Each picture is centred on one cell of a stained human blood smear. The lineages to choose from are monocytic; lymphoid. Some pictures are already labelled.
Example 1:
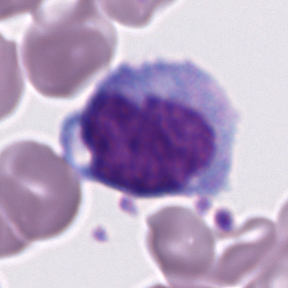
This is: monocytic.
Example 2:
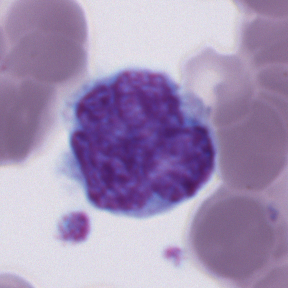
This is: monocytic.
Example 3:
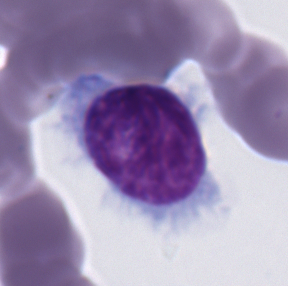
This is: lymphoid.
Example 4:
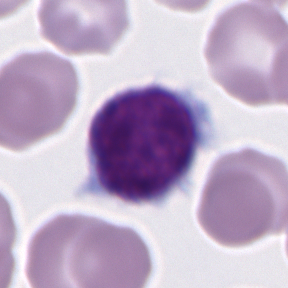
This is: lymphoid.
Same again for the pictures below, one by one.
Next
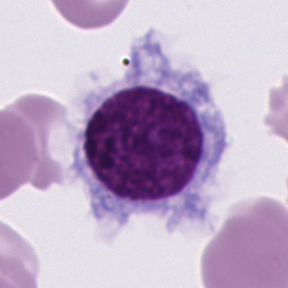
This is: lymphoid.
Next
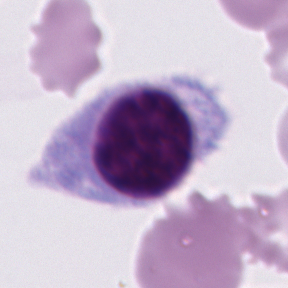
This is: lymphoid.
